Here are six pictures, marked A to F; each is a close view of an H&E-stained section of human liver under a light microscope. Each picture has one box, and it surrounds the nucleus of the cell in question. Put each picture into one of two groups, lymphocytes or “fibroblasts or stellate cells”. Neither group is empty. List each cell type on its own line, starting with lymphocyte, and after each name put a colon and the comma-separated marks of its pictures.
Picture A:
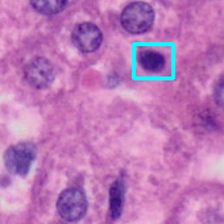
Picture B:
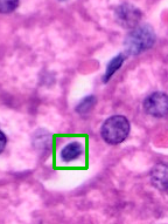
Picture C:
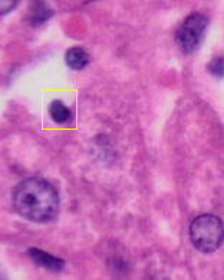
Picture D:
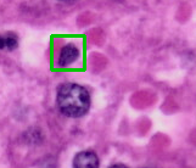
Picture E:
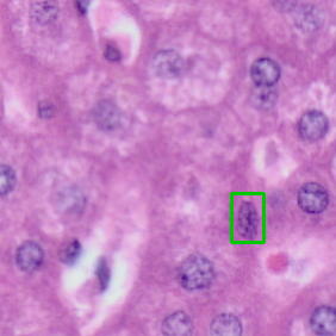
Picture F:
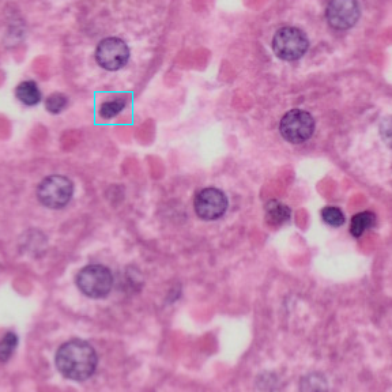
lymphocyte: A, B, C, D
fibroblast or stellate cell: E, F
